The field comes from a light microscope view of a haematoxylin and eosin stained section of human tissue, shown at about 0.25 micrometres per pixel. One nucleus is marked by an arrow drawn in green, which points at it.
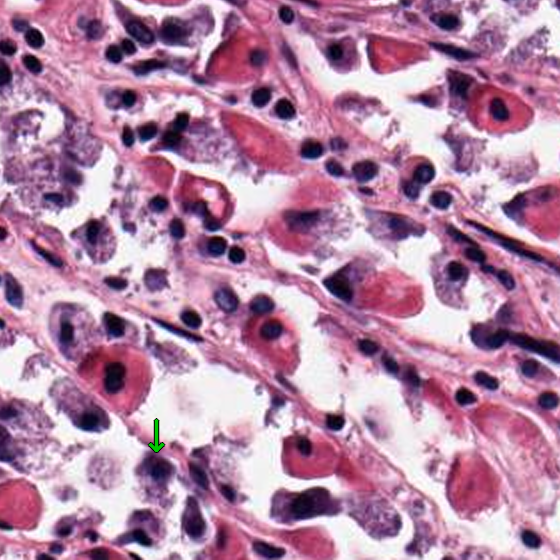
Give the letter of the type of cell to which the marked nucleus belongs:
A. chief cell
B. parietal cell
A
